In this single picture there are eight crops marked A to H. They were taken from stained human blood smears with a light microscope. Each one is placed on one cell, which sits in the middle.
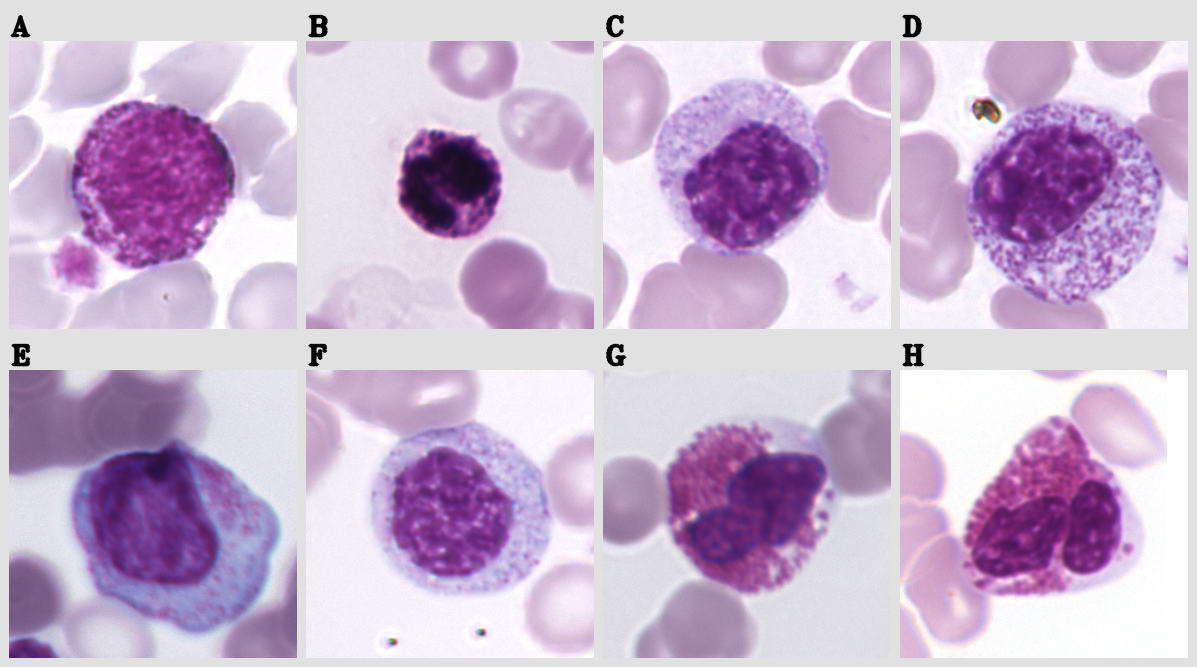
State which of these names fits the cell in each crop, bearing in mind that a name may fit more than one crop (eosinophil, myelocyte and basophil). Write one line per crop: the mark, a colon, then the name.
A: myelocyte
B: basophil
C: myelocyte
D: myelocyte
E: myelocyte
F: myelocyte
G: eosinophil
H: eosinophil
